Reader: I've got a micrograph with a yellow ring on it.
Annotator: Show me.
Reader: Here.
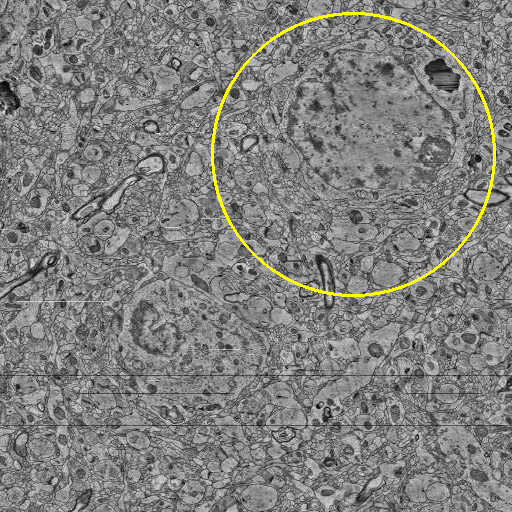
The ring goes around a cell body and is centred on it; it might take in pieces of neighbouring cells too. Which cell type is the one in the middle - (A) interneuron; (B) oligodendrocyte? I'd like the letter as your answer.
A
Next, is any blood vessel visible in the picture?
No, the picture includes no blood vessel.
